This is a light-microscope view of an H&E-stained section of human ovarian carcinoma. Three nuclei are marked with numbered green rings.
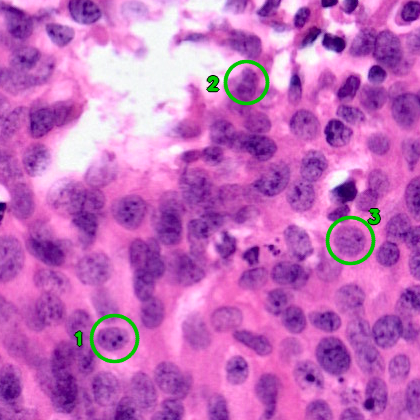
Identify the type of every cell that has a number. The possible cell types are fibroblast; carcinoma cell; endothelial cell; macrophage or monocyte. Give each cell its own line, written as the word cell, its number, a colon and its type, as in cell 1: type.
cell 1: macrophage or monocyte
cell 2: carcinoma cell
cell 3: carcinoma cell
